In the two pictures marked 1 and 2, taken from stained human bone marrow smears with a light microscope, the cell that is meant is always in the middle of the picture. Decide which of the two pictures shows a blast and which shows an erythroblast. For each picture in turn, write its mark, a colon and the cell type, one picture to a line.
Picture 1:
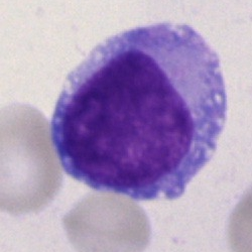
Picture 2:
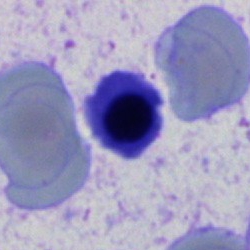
1: blast
2: erythroblast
